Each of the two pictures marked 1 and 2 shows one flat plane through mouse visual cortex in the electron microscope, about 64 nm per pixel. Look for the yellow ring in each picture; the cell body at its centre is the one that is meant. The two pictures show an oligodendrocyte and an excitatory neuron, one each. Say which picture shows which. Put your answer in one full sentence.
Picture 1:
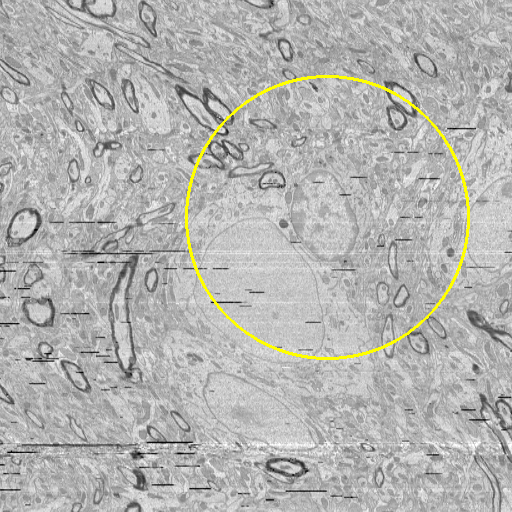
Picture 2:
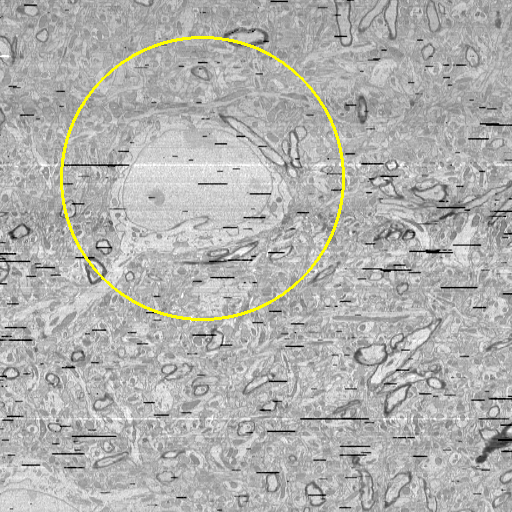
Picture 1 is of an oligodendrocyte, and picture 2 is of an excitatory neuron.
